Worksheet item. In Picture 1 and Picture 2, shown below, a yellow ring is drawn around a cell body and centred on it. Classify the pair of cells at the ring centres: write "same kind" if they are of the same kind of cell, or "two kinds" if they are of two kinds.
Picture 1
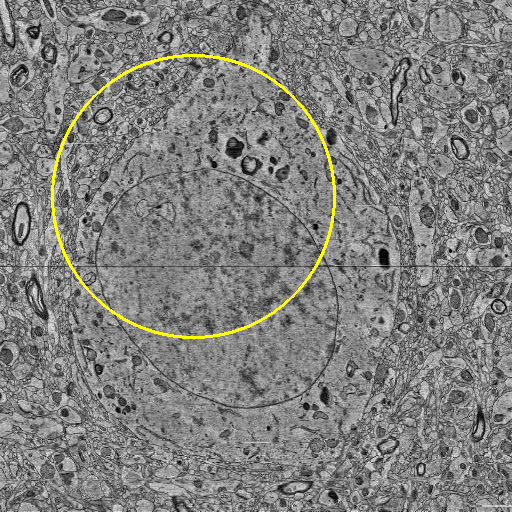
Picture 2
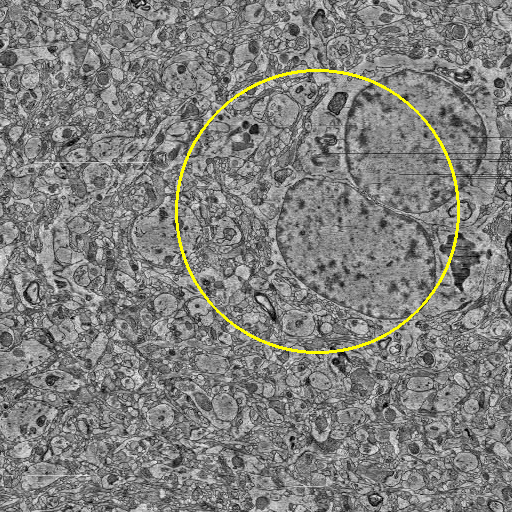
two kinds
